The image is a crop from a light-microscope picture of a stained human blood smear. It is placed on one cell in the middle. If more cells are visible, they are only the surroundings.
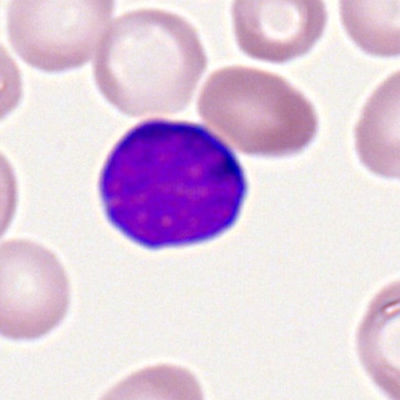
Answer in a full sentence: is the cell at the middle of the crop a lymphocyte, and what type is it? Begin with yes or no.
No, the cell in the centre is a myeloblast instead of a lymphocyte.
